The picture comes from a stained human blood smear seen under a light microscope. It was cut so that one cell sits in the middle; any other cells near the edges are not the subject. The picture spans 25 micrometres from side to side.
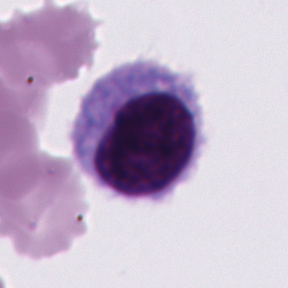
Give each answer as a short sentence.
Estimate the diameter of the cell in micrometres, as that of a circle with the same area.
Taken as a circle, the cell has a diameter of about 12 micrometres.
